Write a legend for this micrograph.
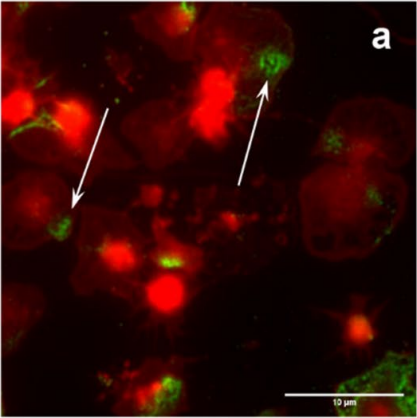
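Small spread cells with bright red, dense centres and thin, paler red peripheral sheets cover the field, some more rounded and intensely red. Green appears as small discrete patches or speckled clusters at the edge or on part of some of these cells rather than filling them. The cells are a few micrometres across with no visible nucleus and irregular outlines.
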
